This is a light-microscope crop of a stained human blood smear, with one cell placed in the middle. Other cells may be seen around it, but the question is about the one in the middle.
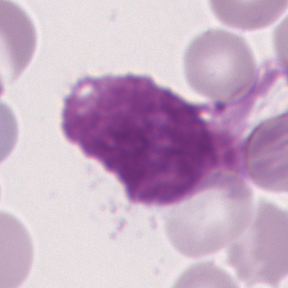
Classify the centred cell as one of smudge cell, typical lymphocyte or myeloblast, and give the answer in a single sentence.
The cell under consideration, at the middle of the crop, is a smudge cell.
